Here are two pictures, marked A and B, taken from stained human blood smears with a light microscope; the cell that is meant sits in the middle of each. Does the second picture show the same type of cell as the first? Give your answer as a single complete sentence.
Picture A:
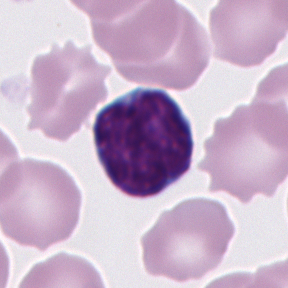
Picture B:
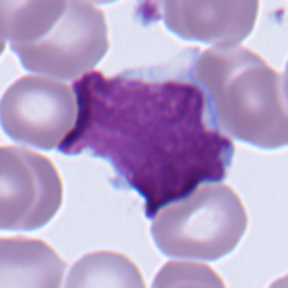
Yes, they are the same type: both are typical lymphocytes.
